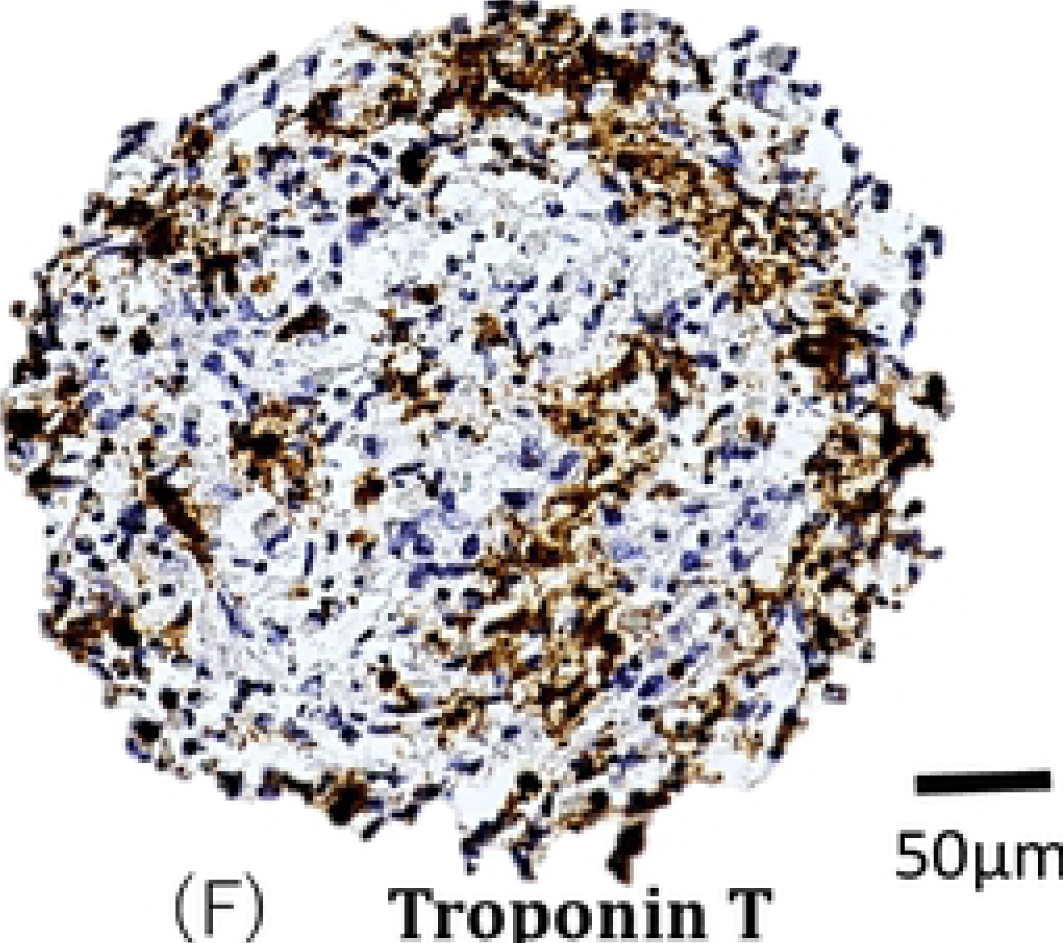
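The brown cells gather in irregular clusters and elongated strands, densest toward the periphery and in patches through the interior. Between them, paler areas hold loosely arranged cells with small blue nuclei and little colour. The outline of the section is rough, with cells projecting at the border. No organised vessel lumens are clearly seen, the stained cells forming rather networks and clumps.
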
